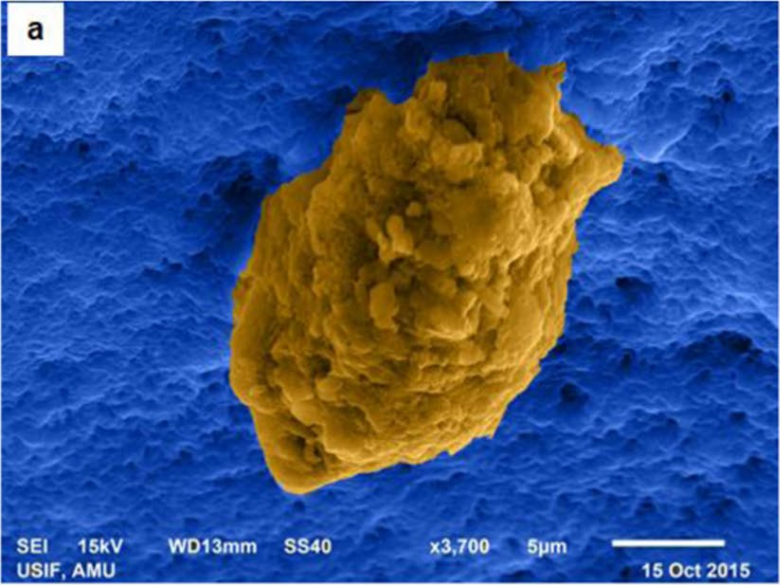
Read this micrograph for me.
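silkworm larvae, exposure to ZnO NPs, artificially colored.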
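A single hemocyte in an early stage of apoptosis, seen by scanning electron microscopy, lies on a blue-coloured, finely textured substrate. The cell, coloured orange, is compact and rounded to oval, with a closed outline. Its entire surface is crowded with irregular, rounded knob-like protrusions of varying size, giving it a lumpy, cobbled appearance typical of bleb formation.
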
